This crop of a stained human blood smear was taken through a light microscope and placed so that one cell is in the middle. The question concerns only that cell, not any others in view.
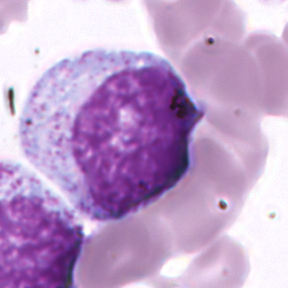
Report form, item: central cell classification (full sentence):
By type, the central cell of the crop is a myelocyte.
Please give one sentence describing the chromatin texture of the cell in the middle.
Answer: the chromatin is fine and has no coarse clumps.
